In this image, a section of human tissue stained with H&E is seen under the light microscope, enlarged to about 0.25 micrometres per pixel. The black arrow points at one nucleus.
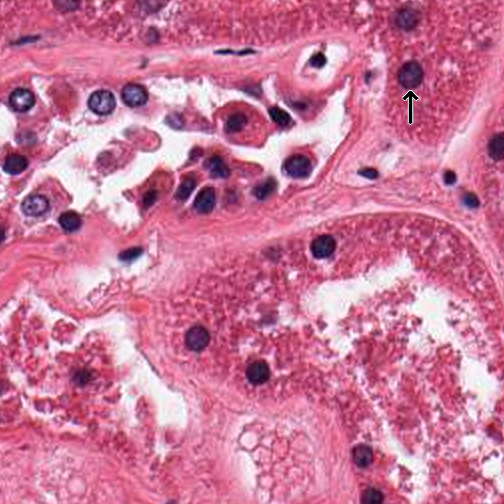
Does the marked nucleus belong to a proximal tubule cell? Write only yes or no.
yes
